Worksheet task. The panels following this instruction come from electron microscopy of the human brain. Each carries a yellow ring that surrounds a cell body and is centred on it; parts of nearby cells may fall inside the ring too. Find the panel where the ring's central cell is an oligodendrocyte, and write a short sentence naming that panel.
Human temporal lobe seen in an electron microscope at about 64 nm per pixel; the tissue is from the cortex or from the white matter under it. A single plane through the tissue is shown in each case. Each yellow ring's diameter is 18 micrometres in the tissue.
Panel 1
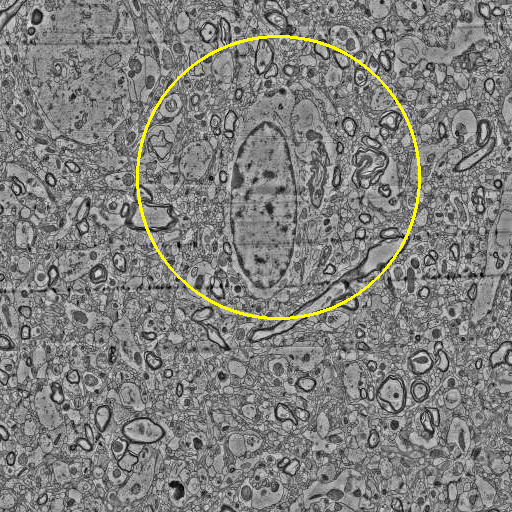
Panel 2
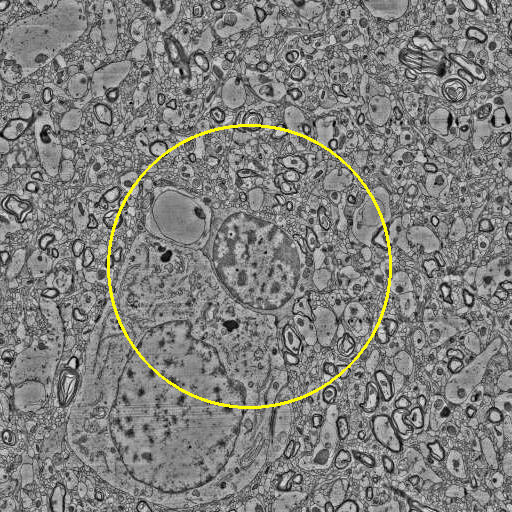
The cell sought is in Panel 2.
